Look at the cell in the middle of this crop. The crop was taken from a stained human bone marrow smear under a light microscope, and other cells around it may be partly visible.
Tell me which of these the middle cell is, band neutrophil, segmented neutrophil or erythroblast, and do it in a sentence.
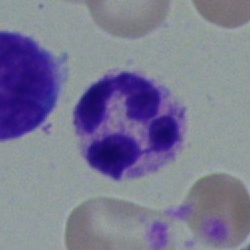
For this crop, the cell in the middle is a segmented neutrophil.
